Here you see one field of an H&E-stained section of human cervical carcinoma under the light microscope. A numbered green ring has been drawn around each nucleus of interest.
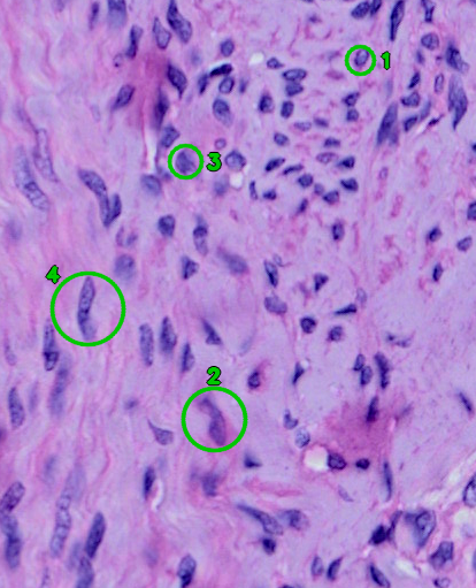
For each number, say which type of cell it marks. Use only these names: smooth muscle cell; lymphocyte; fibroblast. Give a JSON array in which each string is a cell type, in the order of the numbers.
["smooth muscle cell", "smooth muscle cell", "smooth muscle cell", "fibroblast"]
